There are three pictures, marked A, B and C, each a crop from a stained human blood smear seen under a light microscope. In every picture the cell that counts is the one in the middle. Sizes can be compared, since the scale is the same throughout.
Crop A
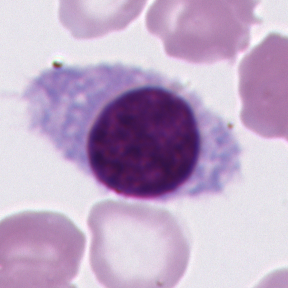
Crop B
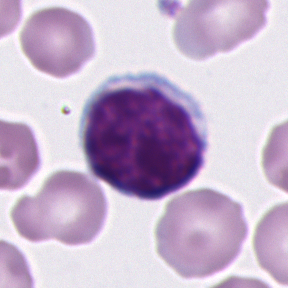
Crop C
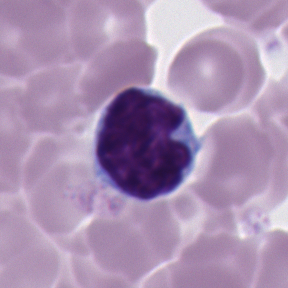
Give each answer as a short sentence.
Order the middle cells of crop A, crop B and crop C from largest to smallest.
From the largest down, the order is A, B, C.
